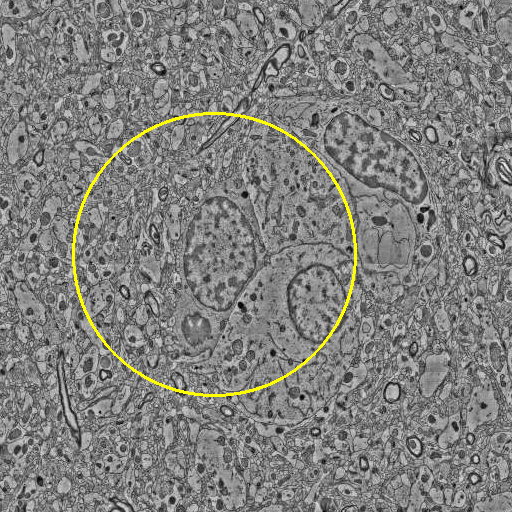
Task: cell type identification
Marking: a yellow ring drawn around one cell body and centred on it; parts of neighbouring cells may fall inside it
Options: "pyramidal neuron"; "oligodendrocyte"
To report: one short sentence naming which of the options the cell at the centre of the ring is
The cell at the centre of the ring is an oligodendrocyte.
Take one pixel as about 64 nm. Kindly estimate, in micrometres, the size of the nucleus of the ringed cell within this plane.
The nucleus works out at approximately 7 by 5 micrometres in this plane.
